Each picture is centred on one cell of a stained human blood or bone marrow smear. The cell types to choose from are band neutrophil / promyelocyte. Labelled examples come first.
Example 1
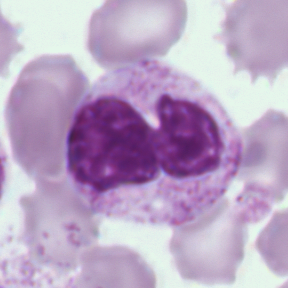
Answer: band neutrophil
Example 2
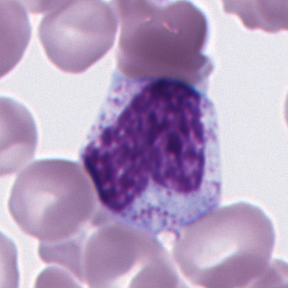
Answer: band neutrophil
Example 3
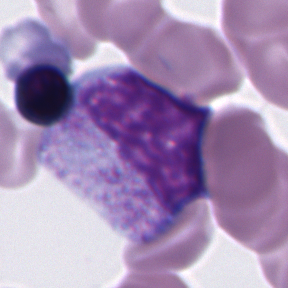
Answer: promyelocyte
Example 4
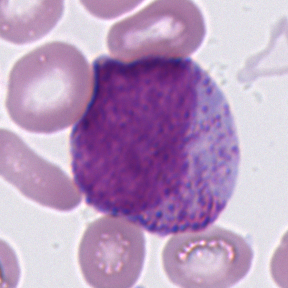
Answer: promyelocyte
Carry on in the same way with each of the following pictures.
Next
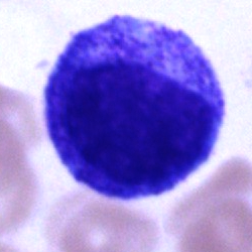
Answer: promyelocyte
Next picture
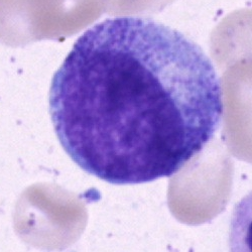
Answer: promyelocyte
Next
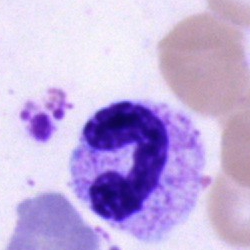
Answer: band neutrophil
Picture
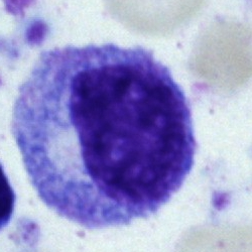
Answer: promyelocyte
